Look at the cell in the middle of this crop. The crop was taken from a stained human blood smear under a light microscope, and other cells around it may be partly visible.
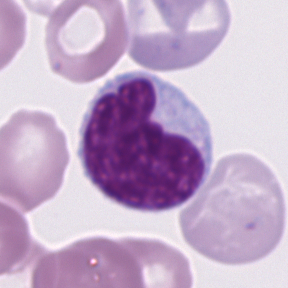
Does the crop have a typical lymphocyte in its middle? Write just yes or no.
yes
